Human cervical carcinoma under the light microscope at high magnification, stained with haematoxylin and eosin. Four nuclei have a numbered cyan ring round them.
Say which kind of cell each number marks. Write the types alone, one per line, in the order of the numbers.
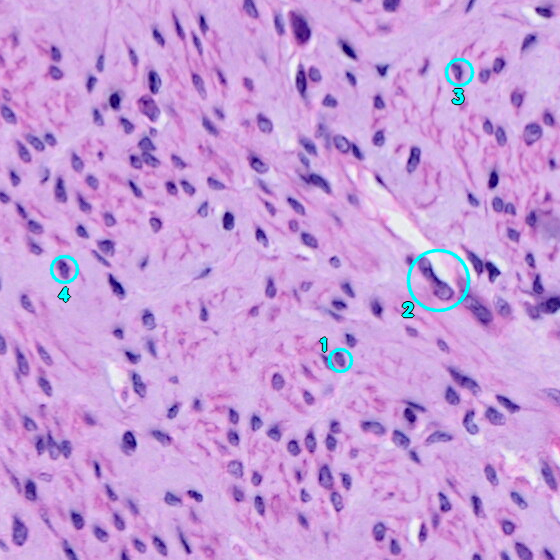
smooth muscle cell
endothelial cell
smooth muscle cell
smooth muscle cell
